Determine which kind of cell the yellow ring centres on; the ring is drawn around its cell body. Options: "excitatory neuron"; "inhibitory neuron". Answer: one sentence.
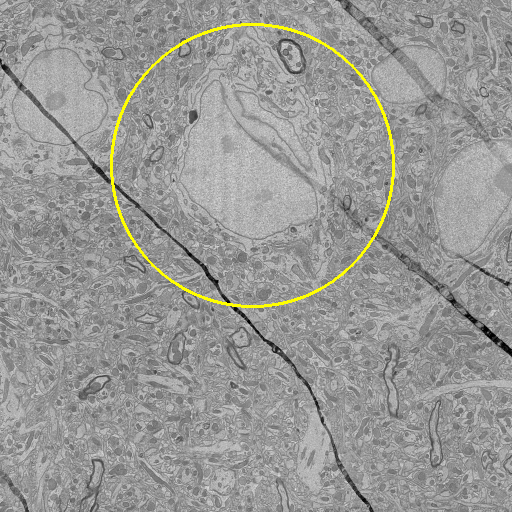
The ring centres on an inhibitory neuron.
